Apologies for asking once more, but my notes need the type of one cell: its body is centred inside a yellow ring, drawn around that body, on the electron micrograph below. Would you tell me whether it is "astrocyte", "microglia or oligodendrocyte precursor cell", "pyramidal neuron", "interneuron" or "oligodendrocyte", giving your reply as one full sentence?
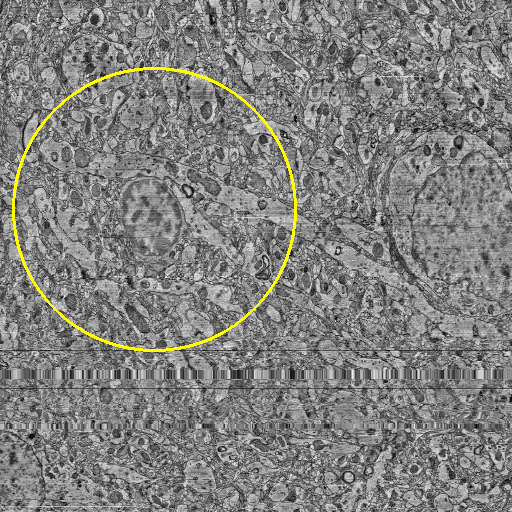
The cell that the yellow ring is centred on is an oligodendrocyte in this micrograph.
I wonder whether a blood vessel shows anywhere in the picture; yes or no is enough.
No, there is no blood vessel in the image.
